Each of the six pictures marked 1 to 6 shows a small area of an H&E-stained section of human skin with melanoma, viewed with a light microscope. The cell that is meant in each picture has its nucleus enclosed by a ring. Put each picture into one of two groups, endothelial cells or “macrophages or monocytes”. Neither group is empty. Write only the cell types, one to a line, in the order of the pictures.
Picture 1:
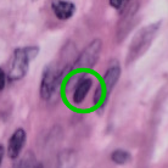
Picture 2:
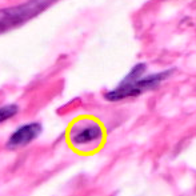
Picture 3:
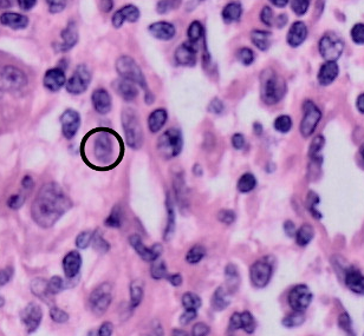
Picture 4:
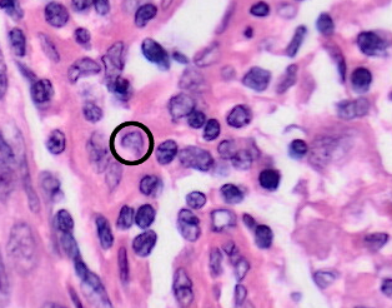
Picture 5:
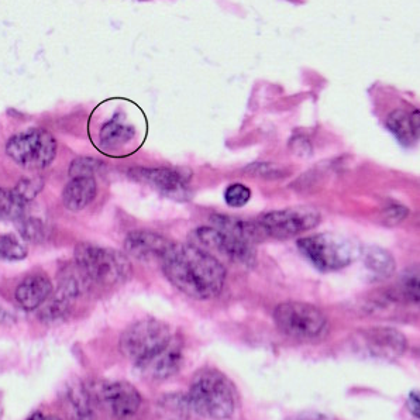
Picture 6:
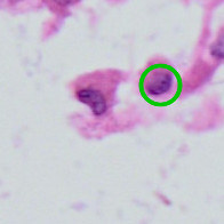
endothelial cell
macrophage or monocyte
macrophage or monocyte
endothelial cell
macrophage or monocyte
macrophage or monocyte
